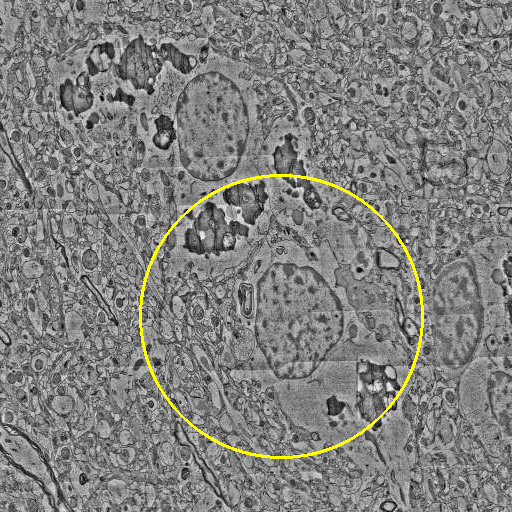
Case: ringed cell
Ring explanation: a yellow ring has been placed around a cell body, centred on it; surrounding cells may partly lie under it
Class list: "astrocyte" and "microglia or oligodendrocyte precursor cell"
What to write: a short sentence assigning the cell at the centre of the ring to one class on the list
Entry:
The cell at the ring's centre is an astrocyte.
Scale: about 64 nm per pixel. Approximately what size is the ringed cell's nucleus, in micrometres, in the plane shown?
The ringed cell's nucleus is about 7 micrometres long and 6 micrometres wide in this plane.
